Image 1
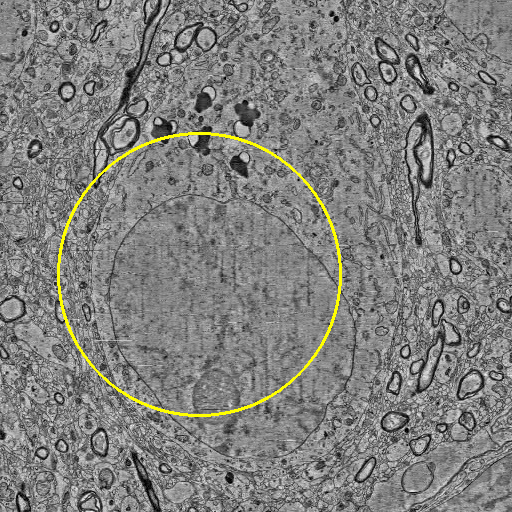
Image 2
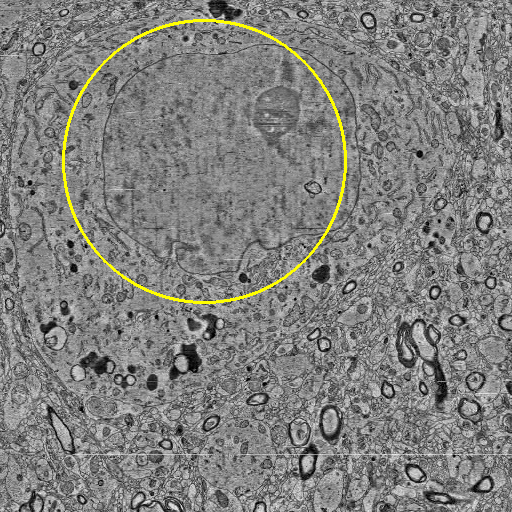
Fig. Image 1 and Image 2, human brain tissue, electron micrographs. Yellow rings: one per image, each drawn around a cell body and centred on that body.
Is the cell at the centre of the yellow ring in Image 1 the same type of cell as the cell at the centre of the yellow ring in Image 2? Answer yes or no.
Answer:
yes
